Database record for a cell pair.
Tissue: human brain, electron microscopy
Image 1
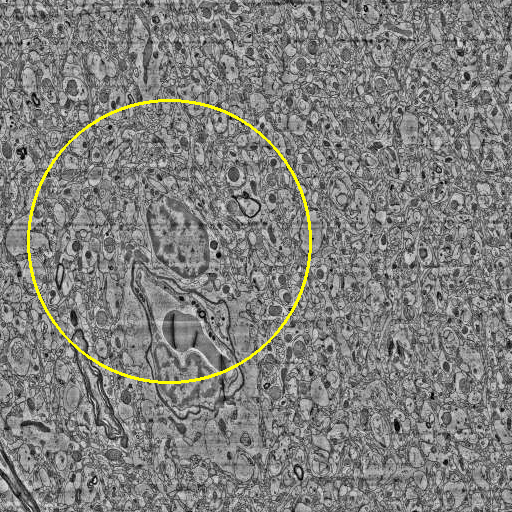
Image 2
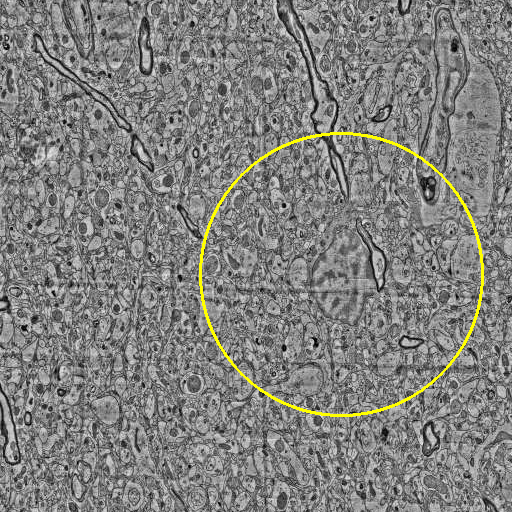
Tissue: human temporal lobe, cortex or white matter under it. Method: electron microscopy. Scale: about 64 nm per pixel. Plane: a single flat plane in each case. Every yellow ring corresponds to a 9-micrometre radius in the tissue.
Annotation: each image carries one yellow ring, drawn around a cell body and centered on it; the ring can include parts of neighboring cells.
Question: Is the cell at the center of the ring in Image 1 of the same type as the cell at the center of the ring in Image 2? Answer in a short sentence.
No, the cells are of two types.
